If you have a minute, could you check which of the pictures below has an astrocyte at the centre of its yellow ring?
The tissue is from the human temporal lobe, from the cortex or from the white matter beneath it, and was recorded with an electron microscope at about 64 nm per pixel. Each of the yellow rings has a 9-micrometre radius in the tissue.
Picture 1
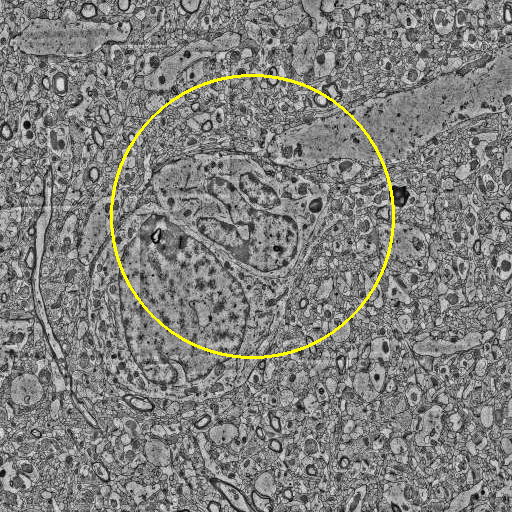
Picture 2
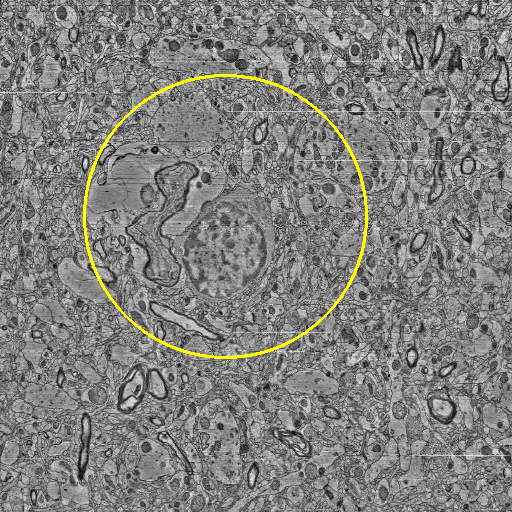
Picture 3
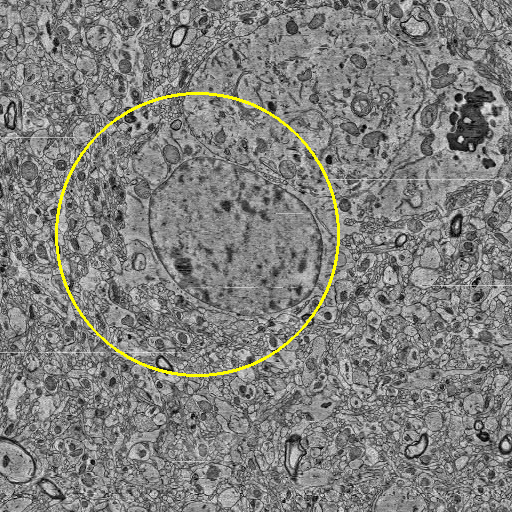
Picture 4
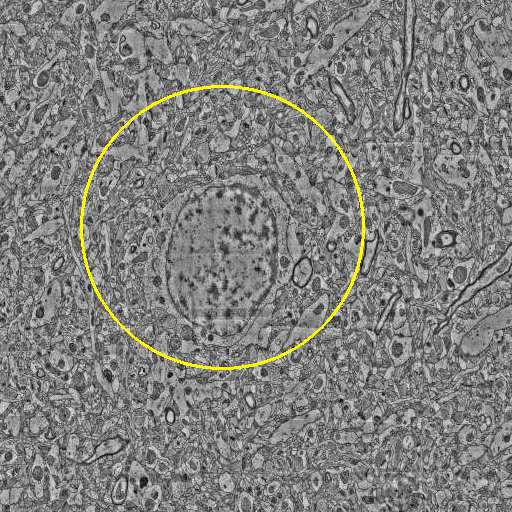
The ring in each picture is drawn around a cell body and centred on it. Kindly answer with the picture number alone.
3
